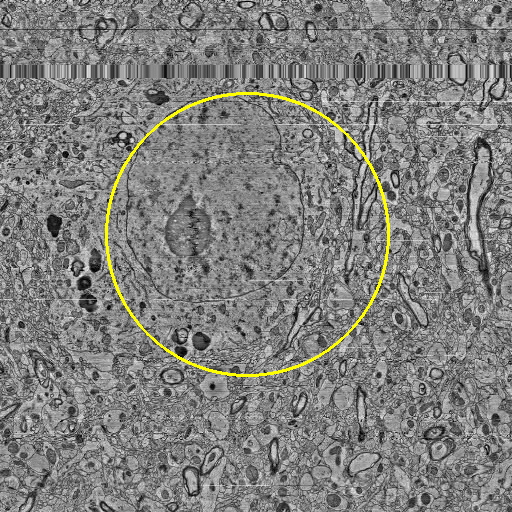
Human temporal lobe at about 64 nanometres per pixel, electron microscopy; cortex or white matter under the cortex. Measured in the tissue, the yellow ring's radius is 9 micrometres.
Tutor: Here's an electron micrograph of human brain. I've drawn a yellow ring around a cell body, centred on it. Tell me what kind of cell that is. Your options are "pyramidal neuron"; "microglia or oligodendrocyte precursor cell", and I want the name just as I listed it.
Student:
pyramidal neuron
